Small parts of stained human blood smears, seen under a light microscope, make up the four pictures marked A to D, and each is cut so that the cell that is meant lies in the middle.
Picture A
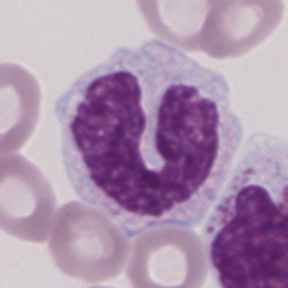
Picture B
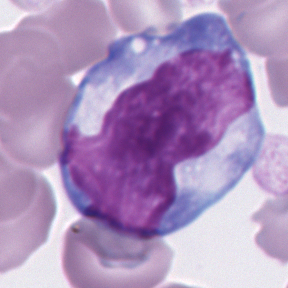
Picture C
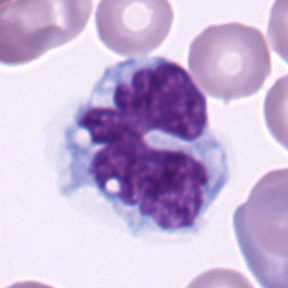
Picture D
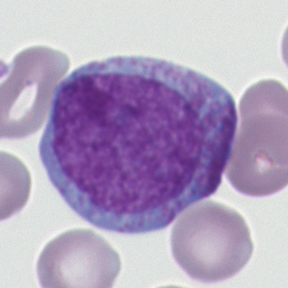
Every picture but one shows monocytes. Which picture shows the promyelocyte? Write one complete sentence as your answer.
It is picture D that shows the promyelocyte.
